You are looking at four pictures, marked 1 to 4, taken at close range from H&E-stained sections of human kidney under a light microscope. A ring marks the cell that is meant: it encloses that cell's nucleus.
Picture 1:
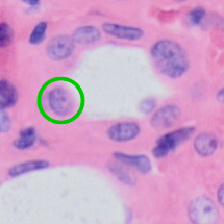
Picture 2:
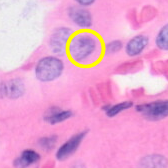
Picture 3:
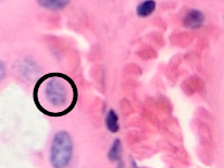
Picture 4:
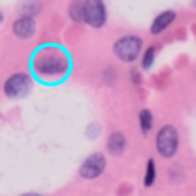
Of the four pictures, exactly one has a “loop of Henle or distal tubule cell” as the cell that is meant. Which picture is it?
4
